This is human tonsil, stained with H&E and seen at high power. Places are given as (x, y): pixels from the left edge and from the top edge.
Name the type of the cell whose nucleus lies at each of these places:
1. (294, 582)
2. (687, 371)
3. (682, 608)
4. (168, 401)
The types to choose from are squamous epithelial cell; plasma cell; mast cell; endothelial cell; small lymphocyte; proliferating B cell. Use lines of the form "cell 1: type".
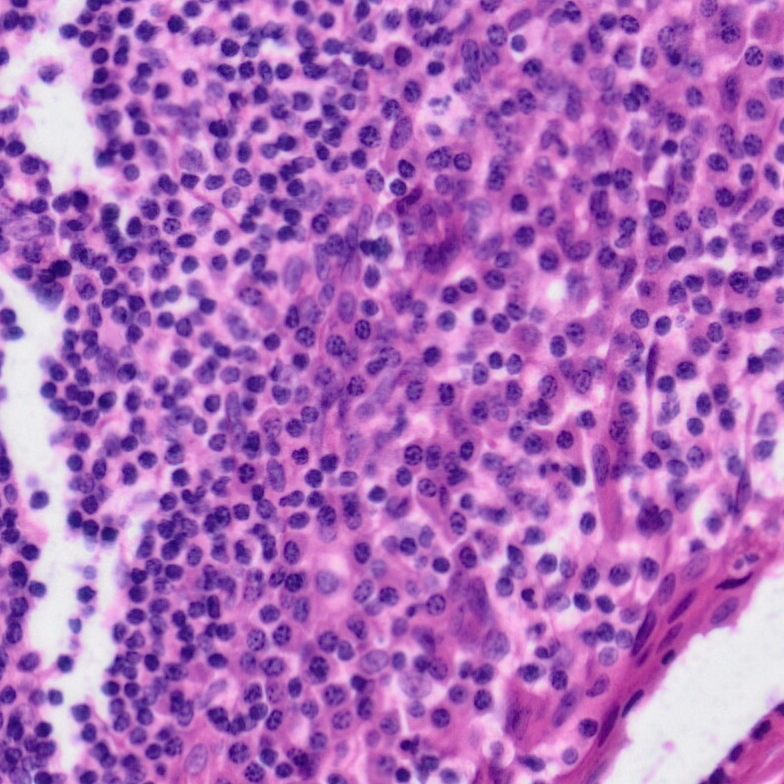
cell 1: plasma cell
cell 2: plasma cell
cell 3: squamous epithelial cell
cell 4: small lymphocyte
